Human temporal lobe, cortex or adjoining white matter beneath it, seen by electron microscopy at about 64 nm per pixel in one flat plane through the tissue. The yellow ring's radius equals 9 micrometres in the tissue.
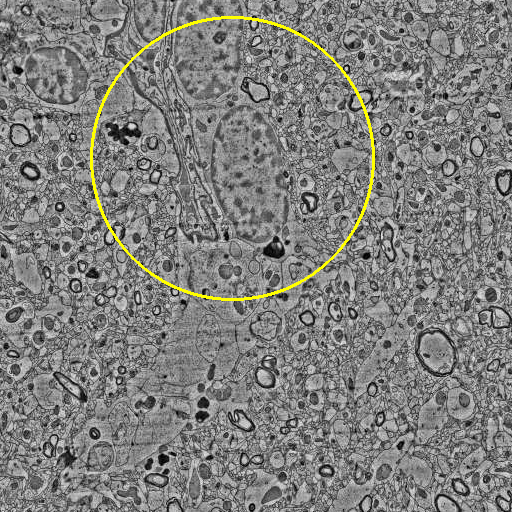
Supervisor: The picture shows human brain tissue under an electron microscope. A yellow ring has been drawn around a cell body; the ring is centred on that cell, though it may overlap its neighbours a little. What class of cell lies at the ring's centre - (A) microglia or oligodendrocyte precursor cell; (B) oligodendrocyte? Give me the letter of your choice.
B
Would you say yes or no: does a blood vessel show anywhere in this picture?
Yes, a vessel shows somewhere in the image.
